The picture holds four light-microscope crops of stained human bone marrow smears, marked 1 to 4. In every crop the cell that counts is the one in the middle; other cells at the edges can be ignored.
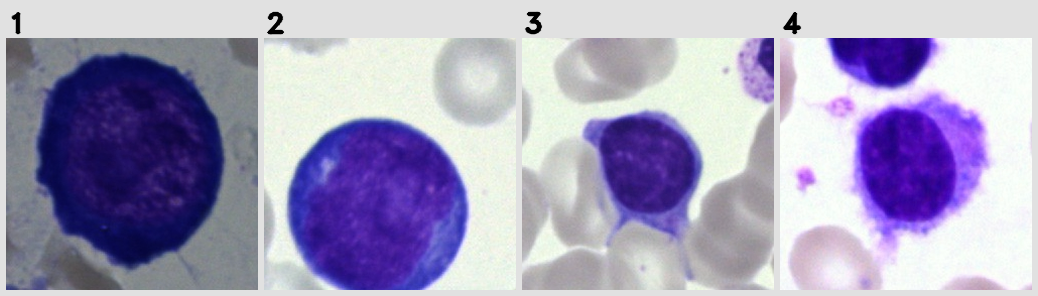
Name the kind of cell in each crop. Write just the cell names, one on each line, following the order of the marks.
proerythroblast
proerythroblast
lymphocyte
hairy cell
